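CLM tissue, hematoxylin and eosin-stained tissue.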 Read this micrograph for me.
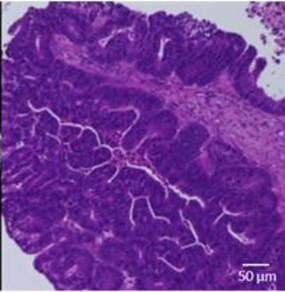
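Tumour tissue forming thick tubular structures lined by tall columnar epithelium. The nuclei are elongated, dark purple and crowded, stacked in several layers along the tubes. Narrow, branching lumina lie within the tubes, and a band of pink fibrous stroma runs between epithelial sheets.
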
